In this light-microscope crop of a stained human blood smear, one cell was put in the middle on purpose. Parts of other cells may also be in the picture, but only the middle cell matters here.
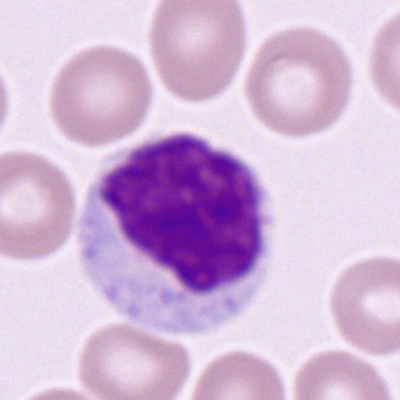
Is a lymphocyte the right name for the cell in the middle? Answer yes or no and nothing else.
yes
